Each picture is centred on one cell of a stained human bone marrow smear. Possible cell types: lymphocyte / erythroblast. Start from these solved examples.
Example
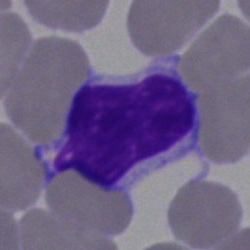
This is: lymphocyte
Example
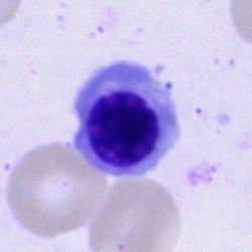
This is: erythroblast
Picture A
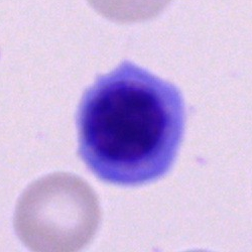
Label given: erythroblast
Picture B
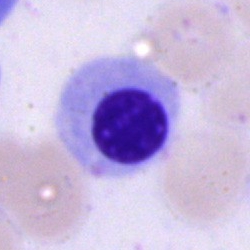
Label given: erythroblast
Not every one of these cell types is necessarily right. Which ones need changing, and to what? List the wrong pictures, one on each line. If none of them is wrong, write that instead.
Nothing to fix; every label fits.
